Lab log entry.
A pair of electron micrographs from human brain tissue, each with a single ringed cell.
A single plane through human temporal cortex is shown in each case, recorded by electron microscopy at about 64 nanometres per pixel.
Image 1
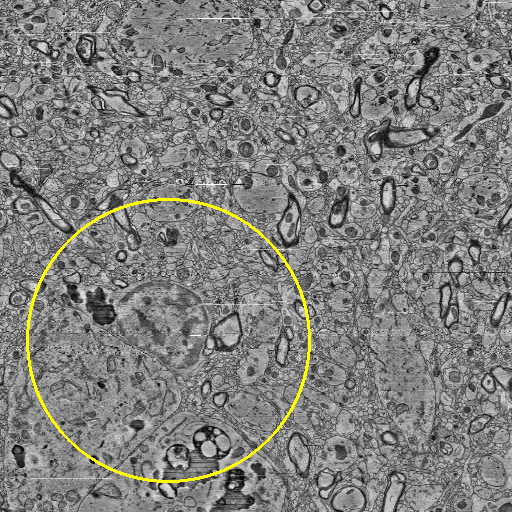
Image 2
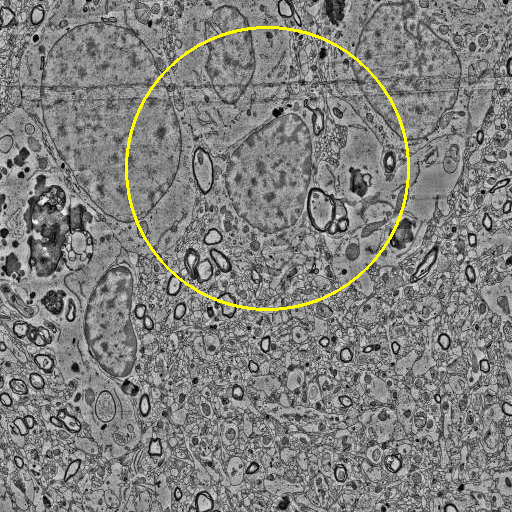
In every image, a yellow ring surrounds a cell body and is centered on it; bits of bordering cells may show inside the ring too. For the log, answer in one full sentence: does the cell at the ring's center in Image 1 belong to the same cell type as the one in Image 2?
Yes, the cells at the ring centers in Image 1 and Image 2 share one type.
